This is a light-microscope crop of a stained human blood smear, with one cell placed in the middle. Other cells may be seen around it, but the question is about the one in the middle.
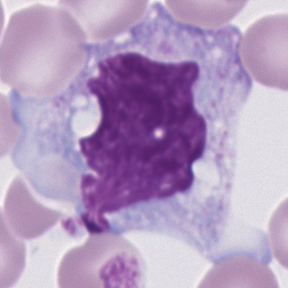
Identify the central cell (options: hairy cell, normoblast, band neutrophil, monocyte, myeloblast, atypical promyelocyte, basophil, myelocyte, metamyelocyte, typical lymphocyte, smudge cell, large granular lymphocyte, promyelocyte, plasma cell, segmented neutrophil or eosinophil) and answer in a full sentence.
As for the cell in the middle, it is a monocyte.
